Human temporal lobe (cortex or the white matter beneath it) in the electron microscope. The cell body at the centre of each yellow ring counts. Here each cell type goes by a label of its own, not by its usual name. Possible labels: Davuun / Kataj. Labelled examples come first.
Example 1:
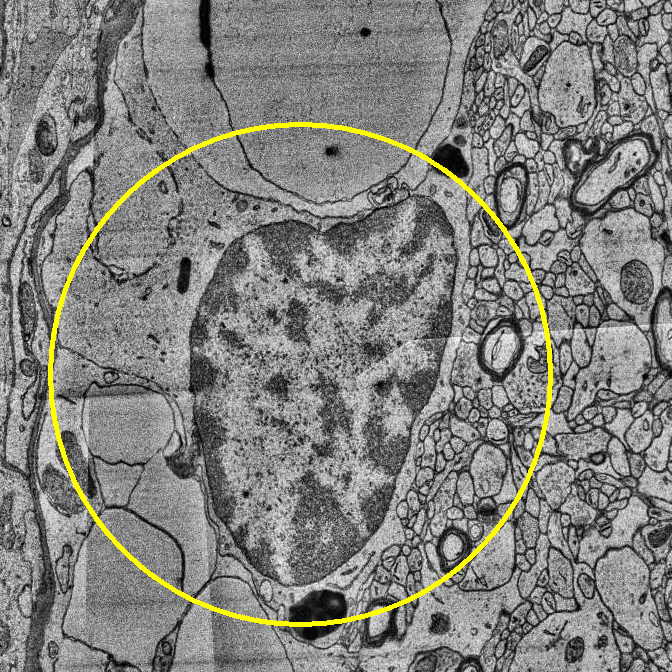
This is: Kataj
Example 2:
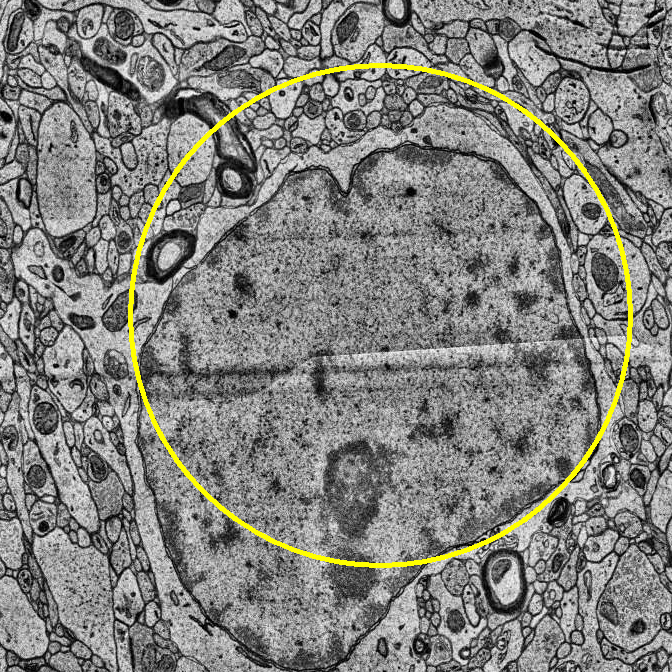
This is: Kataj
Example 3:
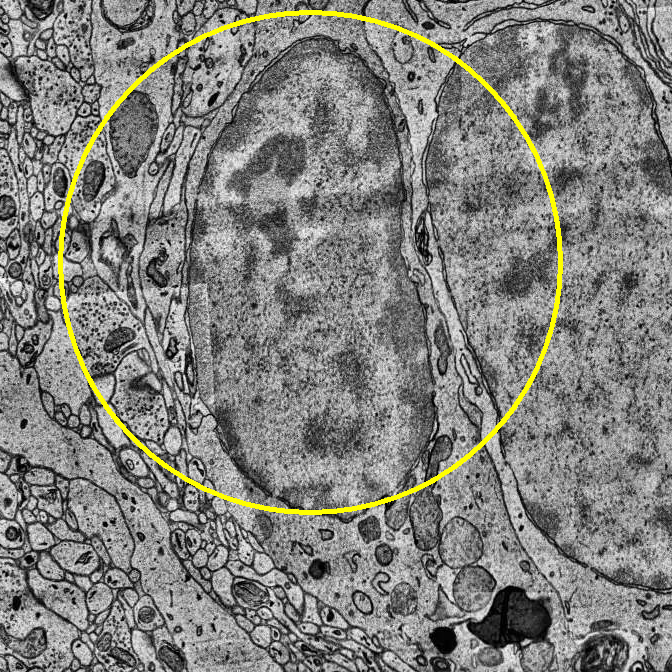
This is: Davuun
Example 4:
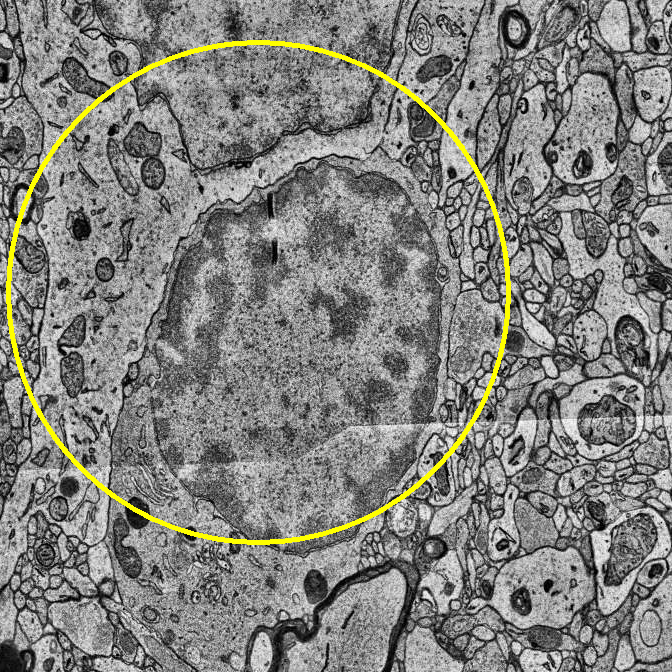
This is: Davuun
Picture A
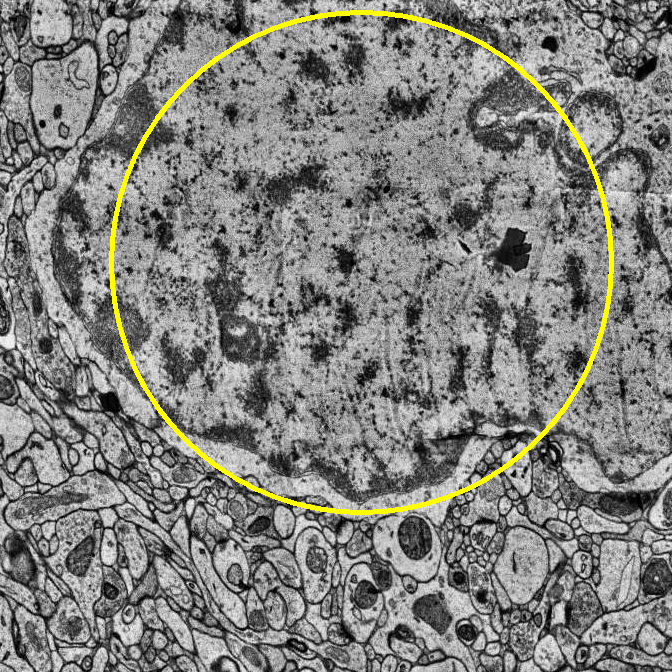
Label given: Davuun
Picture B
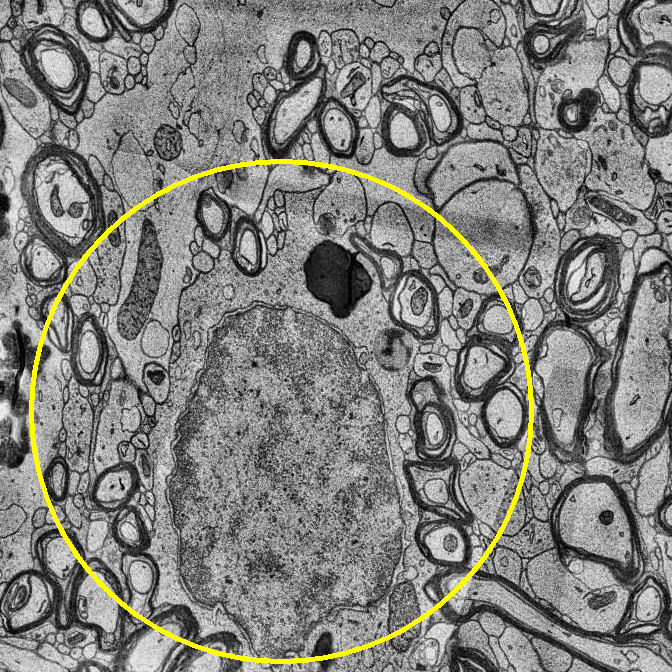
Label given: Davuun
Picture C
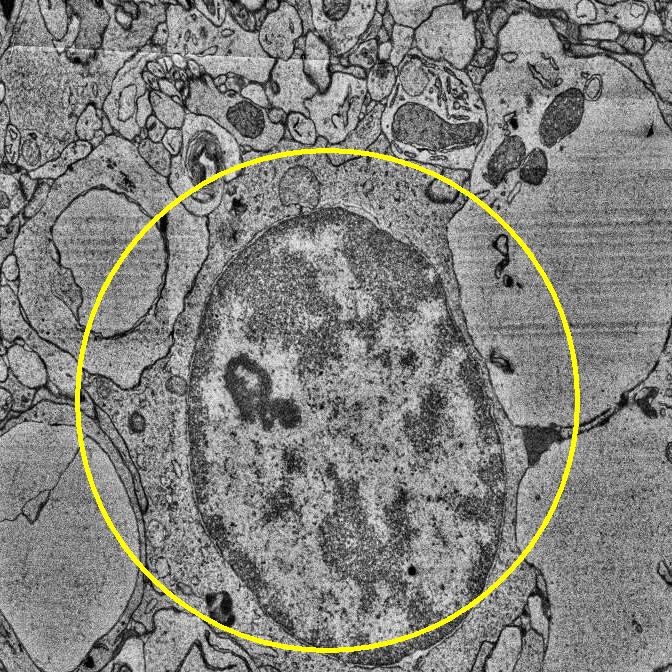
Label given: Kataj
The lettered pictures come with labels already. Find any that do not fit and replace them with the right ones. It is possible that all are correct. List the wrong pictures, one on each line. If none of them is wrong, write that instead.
A: not Davuun but Kataj
C: not Kataj but Davuun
